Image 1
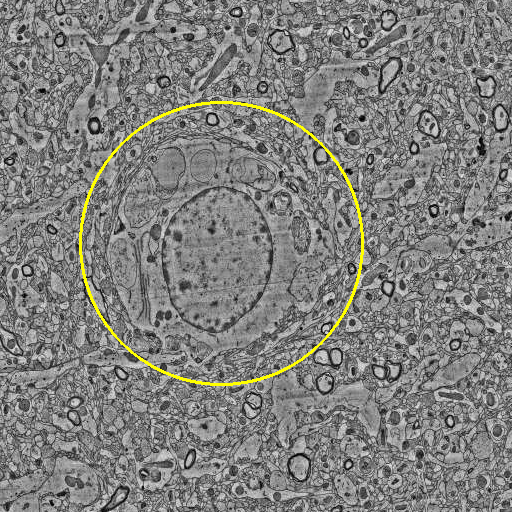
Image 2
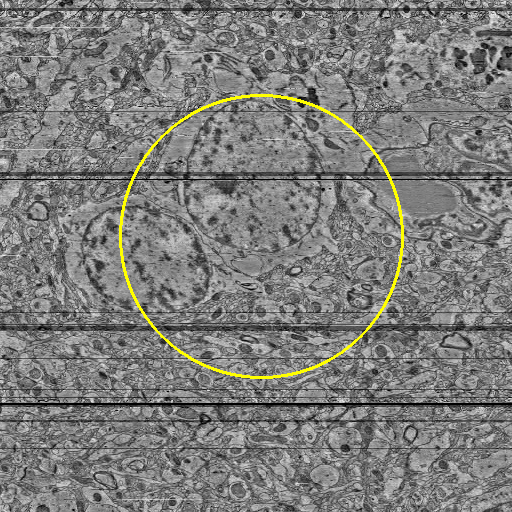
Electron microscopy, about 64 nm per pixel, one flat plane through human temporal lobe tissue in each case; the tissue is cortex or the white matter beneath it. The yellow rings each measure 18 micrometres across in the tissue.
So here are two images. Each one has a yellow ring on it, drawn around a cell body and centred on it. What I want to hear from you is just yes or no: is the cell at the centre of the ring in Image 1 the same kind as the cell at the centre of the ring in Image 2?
yes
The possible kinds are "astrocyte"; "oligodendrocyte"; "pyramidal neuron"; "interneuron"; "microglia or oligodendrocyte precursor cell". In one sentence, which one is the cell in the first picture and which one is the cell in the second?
In each of the two pictures, the ringed cell is an astrocyte.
